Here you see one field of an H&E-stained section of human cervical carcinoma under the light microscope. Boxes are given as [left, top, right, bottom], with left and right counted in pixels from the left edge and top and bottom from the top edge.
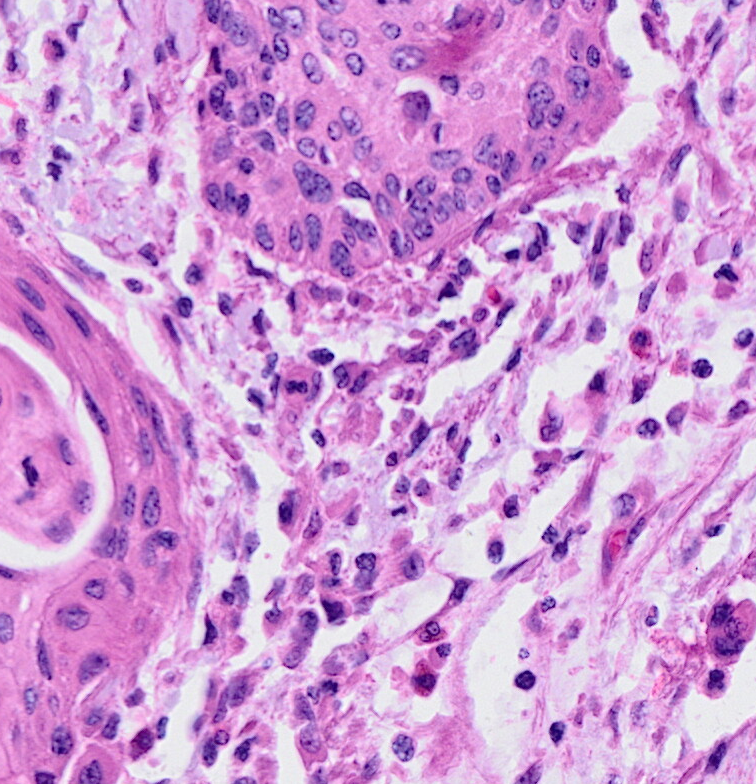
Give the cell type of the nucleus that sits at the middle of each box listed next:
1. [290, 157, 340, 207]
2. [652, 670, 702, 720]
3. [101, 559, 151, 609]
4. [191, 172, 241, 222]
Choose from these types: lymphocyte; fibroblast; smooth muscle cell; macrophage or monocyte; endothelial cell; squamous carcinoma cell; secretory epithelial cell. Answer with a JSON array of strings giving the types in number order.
["squamous carcinoma cell", "fibroblast", "squamous carcinoma cell", "squamous carcinoma cell"]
